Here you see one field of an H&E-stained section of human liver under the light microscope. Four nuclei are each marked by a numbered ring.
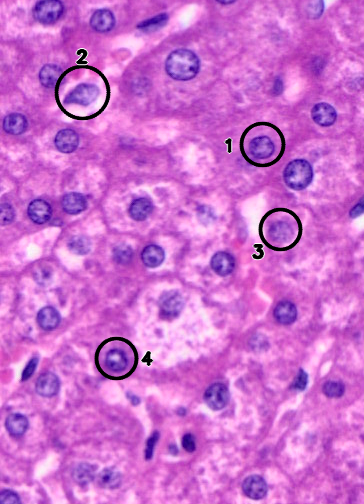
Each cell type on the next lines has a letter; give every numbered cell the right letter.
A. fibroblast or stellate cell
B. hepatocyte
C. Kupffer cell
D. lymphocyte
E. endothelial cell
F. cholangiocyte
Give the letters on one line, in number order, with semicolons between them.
B; C; B; B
